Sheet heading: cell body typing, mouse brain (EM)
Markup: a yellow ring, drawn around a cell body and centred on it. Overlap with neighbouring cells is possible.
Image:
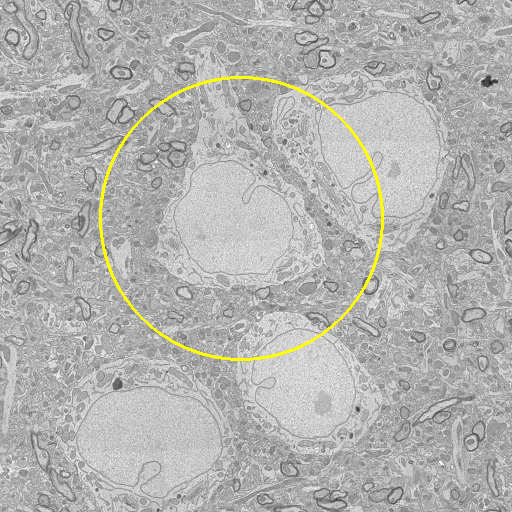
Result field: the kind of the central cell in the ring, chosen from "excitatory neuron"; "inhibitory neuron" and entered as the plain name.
excitatory neuron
